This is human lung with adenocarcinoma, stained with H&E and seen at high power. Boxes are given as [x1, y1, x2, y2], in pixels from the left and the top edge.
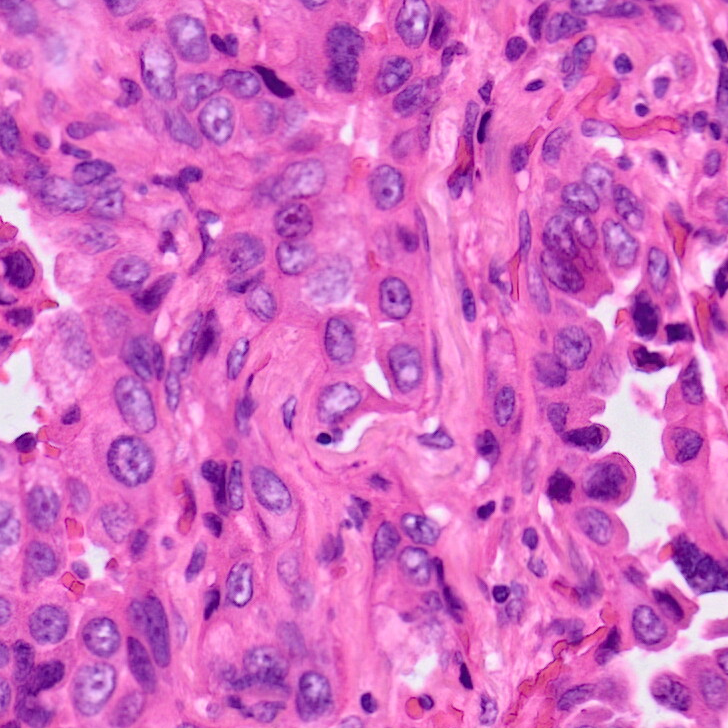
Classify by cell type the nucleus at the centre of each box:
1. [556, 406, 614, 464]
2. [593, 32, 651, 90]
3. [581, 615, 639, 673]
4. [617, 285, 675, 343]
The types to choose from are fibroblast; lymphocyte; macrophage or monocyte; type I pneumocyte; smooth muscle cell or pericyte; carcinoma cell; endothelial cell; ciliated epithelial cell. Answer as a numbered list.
1. carcinoma cell
2. lymphocyte
3. carcinoma cell
4. carcinoma cell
